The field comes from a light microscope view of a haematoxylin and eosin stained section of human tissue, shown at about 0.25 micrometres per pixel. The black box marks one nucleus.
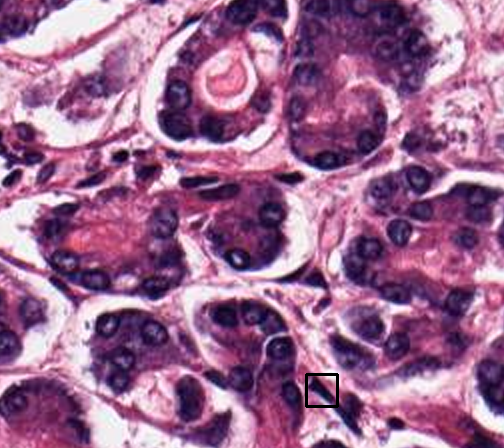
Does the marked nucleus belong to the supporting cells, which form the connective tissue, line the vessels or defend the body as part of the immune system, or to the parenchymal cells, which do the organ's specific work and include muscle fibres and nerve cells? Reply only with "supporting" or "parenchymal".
supporting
